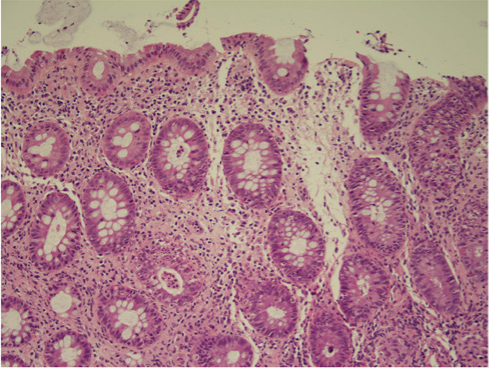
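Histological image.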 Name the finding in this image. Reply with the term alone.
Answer: increase in chronic inflammatory cells in the lamina propria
